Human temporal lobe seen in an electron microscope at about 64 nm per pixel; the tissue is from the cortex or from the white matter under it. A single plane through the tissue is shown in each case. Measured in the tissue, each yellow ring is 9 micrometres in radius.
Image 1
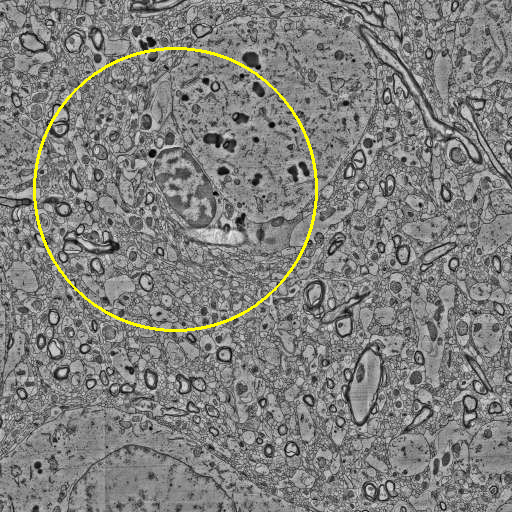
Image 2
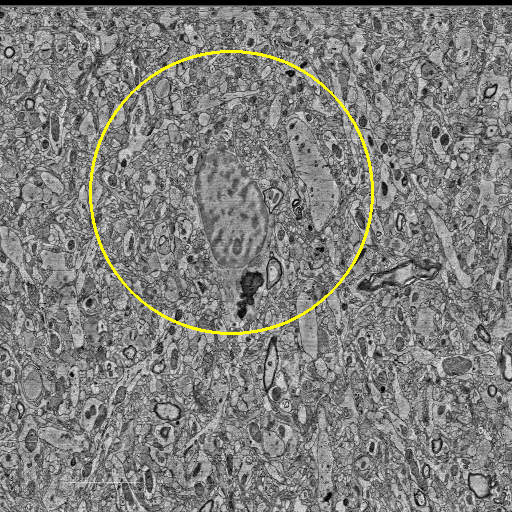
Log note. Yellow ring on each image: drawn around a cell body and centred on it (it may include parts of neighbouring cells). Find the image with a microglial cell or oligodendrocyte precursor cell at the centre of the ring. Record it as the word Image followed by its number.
Image 1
